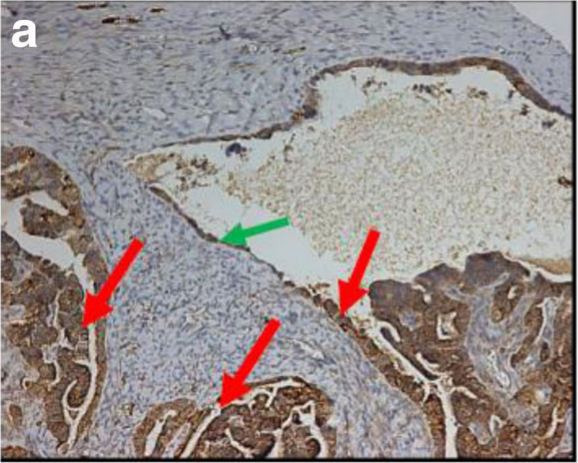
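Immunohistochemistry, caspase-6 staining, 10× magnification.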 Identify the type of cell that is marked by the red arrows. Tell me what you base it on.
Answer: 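Crowded cells in branching papillary and gland-like clusters. These clusters are strongly brown-stained, unlike the pale blue stroma beside them. That points to this answer: tumor cells.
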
